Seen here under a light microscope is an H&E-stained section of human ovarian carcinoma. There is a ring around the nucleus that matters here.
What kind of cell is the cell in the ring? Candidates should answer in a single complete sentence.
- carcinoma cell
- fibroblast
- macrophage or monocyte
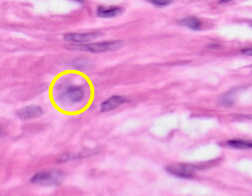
On this particular slide, the cell in the ring is a fibroblast.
